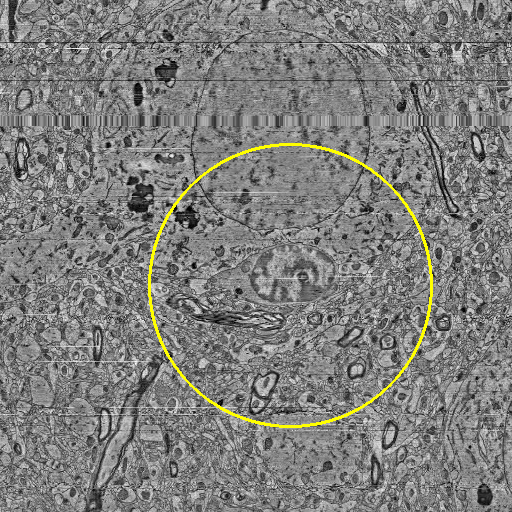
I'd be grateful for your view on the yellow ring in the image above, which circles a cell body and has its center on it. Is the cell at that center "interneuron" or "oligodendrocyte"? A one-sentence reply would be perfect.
The cell at the center of the yellow ring is an oligodendrocyte.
